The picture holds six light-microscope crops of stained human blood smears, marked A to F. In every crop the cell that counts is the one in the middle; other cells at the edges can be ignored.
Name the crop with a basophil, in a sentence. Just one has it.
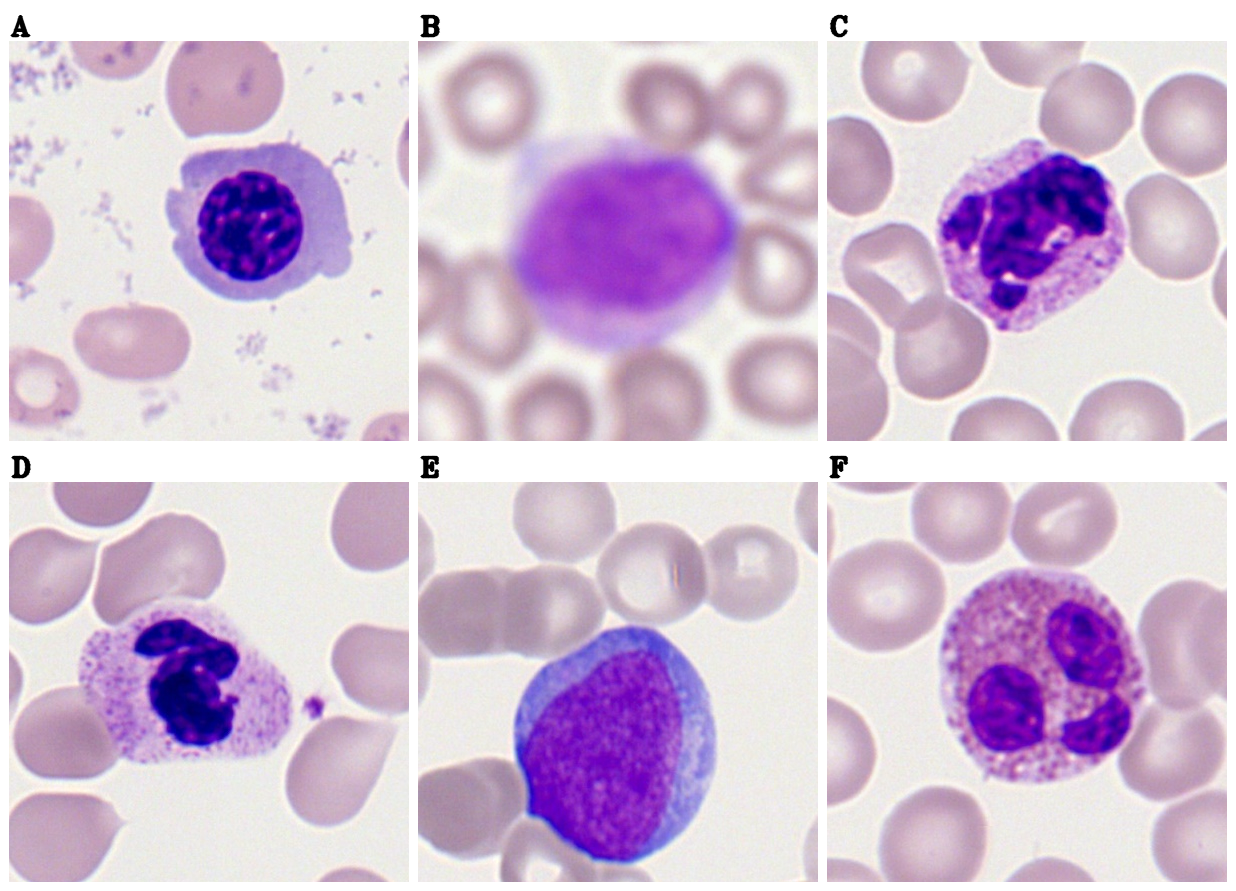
Among these crops, crop C holds a basophil.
